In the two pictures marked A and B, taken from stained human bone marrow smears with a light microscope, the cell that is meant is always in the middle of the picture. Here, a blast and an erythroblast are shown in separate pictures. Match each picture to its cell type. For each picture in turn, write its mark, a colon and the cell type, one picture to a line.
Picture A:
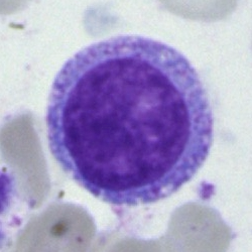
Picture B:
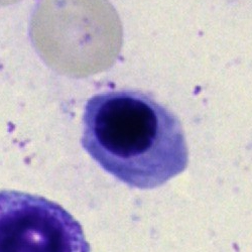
A: blast
B: erythroblast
